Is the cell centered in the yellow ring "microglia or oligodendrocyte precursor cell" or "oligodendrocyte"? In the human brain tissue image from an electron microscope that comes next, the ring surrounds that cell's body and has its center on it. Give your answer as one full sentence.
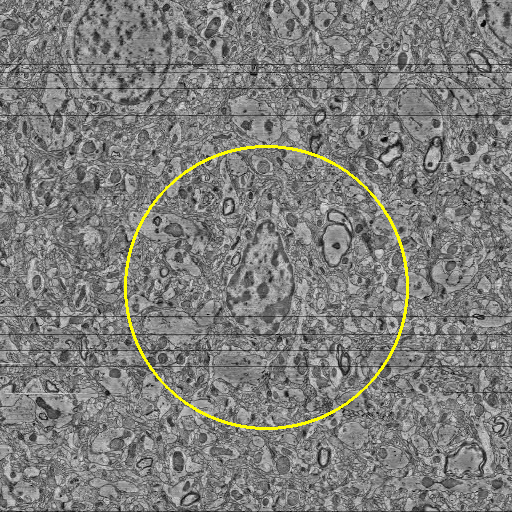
The cell at the center of the yellow ring is a microglial cell or oligodendrocyte precursor cell in the micrograph.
